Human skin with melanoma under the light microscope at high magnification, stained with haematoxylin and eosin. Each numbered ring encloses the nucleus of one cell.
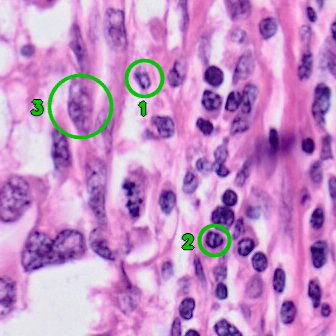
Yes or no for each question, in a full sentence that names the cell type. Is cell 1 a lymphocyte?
Yes, with respect to number 1, the cell is a lymphocyte.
